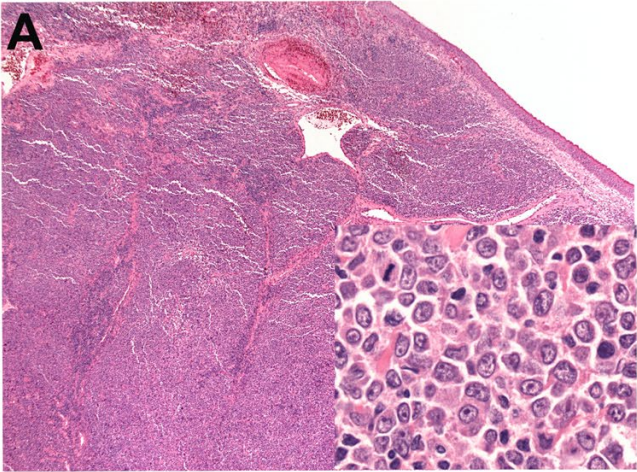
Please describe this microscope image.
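A section of tonsil is replaced by a dense, vaguely nodular proliferation of lymphoid cells, the ill-defined nodules separated by thin pink fibrous strands and blood vessels beneath the surface. In the inset, the dominant cells are large centroblast-like cells with round to oval vesicular nuclei, small nucleoli often along the nuclear membrane, and scant cytoplasm, packed closely together.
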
